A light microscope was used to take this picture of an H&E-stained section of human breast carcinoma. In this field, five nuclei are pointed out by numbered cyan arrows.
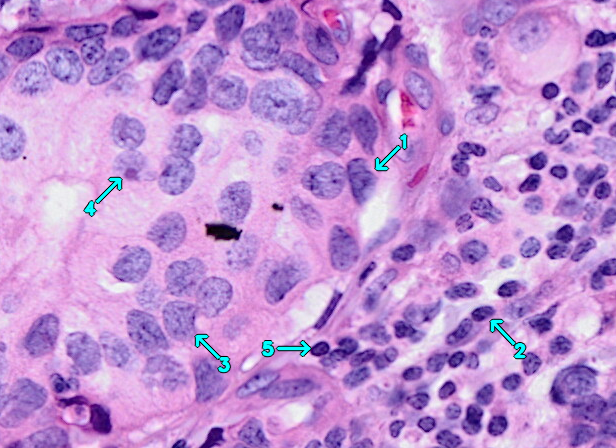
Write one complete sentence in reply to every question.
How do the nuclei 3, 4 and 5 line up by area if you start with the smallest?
The order from the smallest nucleus to the largest is 5, 4, 3.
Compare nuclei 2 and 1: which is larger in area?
The larger nucleus is 1, at roughly 3 times the area of 2.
